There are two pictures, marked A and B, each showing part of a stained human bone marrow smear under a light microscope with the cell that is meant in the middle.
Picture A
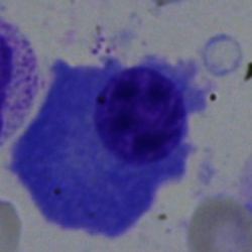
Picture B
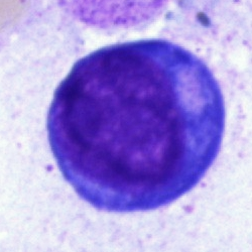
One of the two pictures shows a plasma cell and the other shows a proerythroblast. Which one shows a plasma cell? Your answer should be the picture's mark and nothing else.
A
